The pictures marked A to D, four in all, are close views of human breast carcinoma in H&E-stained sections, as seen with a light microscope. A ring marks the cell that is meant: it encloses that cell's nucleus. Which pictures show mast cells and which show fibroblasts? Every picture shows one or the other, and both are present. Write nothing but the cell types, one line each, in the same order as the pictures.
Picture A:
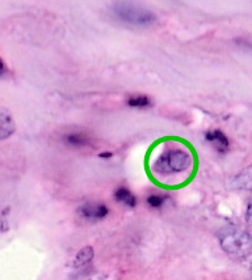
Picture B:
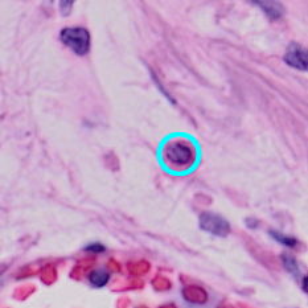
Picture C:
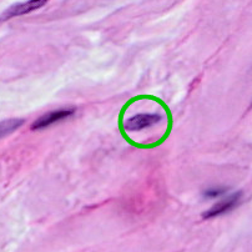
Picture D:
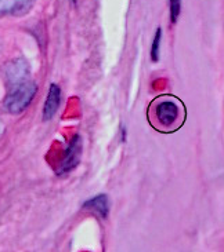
mast cell
mast cell
fibroblast
mast cell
